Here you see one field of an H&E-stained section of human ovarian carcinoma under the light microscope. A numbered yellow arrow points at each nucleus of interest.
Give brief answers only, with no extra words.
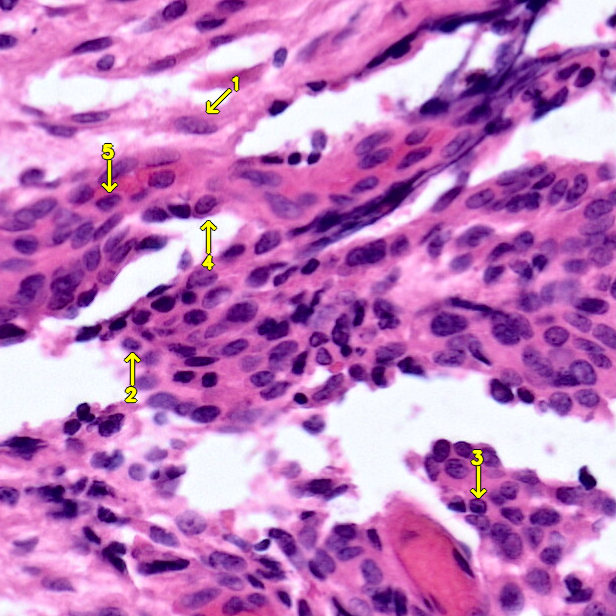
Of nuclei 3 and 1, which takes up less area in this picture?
3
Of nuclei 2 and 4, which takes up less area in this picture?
2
